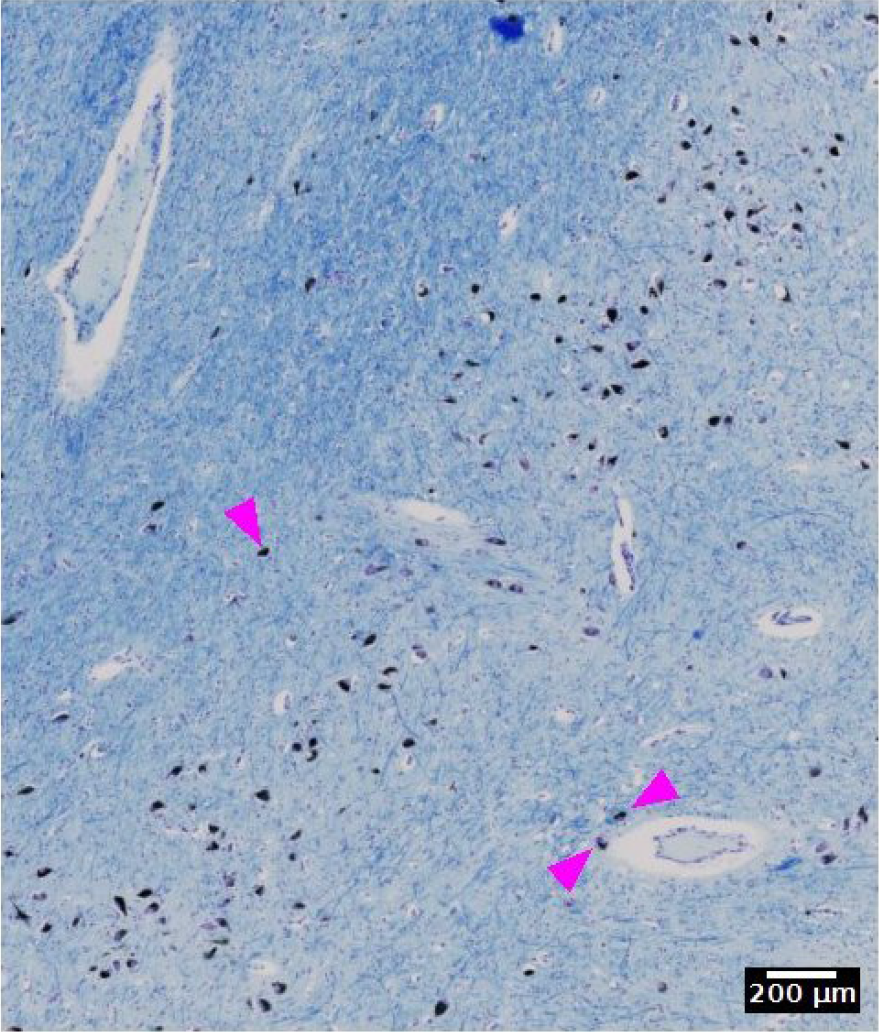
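This is a section of brain tissue stained pale blue, with a fine fibrillar background crossed by several blood vessels that show as pale, empty-looking spaces with clear surrounding halos. Scattered through the tissue are many small, sharply dark, black-brown pigmented bodies, roughly the size of single cell bodies, often oval or teardrop shaped. They crowd together in the upper right and lower left of the field and are sparser in the middle and upper left. Some fainter purple-grey cell profiles lie among them. These dark deposits are neuromelanin within the pigmented neurons of the substantia nigra, two of which sit right beside a vessel near the lower right.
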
